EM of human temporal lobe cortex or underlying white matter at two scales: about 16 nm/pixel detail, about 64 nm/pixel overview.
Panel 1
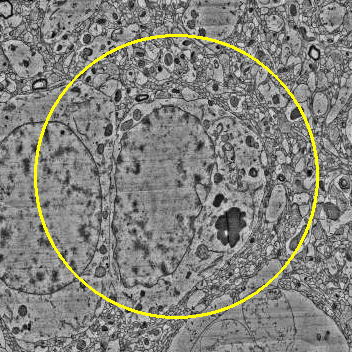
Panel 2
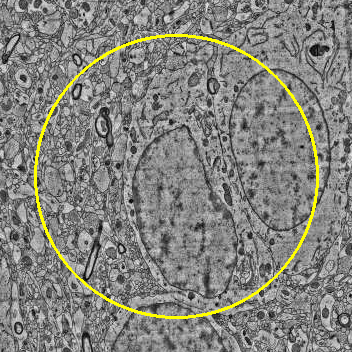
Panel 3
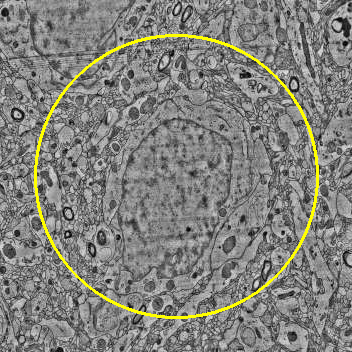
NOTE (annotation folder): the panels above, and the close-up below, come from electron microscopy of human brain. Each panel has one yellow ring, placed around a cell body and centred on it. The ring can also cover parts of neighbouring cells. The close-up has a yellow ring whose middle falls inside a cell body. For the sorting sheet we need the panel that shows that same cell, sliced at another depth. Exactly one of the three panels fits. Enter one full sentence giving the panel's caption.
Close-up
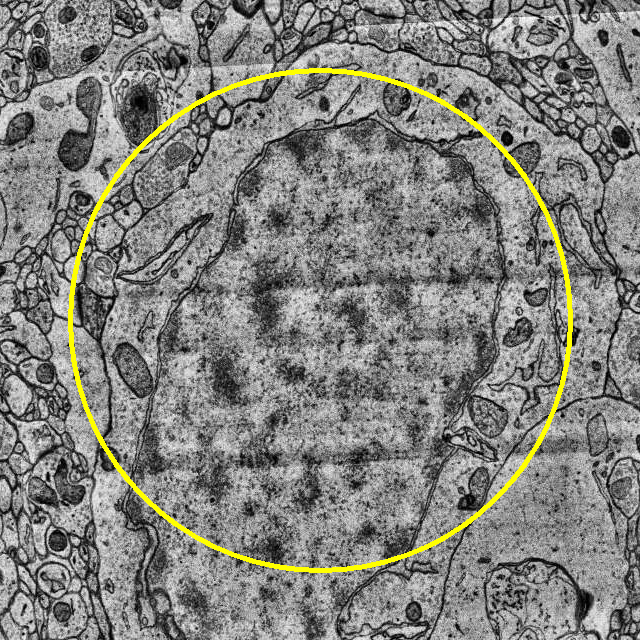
Enlarged in the close-up is the cell circled in Panel 3.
